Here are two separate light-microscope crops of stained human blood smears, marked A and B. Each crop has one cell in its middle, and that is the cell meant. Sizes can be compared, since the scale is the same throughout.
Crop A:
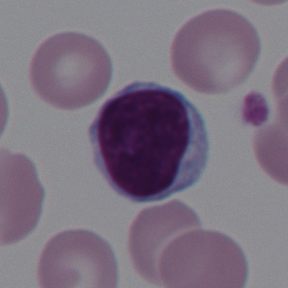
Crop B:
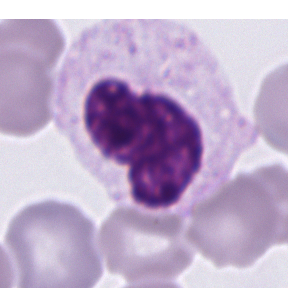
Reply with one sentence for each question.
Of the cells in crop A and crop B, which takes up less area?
The cell in crop A is smaller; the one in crop B has about 2.5 times its area.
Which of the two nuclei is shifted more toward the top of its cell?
In crop A the nucleus is shifted more toward the top.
